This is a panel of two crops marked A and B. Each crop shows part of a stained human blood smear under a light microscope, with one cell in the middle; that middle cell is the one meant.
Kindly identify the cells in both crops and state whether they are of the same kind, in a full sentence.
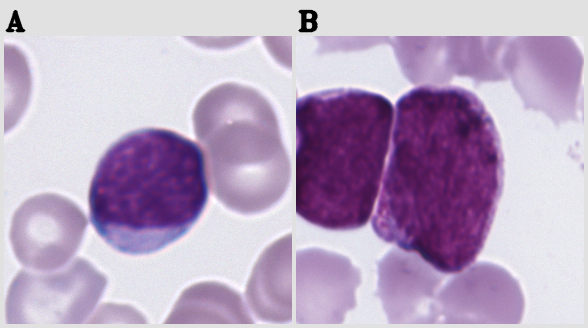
Yes, both crops show myeloblasts in the middle.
